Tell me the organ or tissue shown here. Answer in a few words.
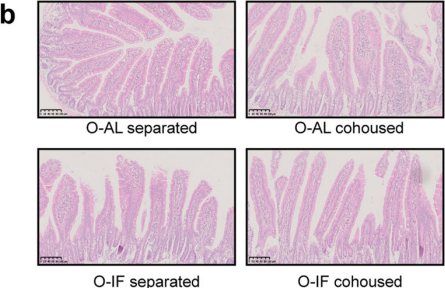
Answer: small intestine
